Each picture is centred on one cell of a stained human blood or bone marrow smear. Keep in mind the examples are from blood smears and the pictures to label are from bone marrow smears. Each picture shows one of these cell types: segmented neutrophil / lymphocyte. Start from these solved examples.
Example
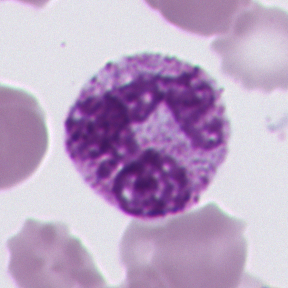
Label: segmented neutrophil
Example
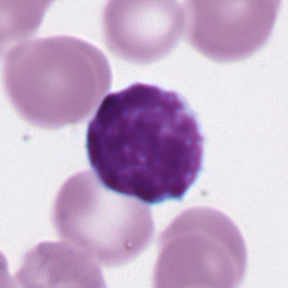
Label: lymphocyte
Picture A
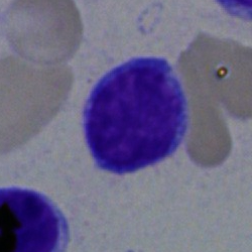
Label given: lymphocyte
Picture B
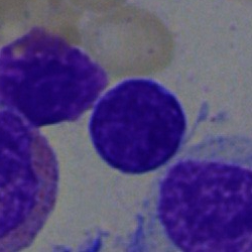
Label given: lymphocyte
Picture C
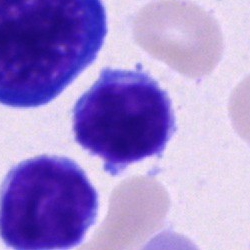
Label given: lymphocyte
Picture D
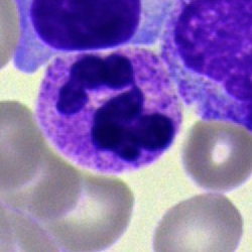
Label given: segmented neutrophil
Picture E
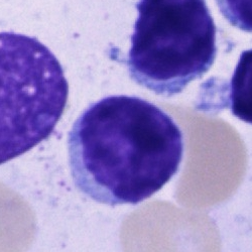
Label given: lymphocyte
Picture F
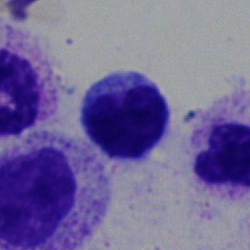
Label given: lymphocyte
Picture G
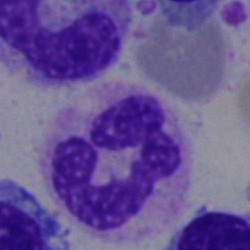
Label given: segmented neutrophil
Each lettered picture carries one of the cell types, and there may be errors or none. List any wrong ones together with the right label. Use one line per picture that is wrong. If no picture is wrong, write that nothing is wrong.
Every label is right.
